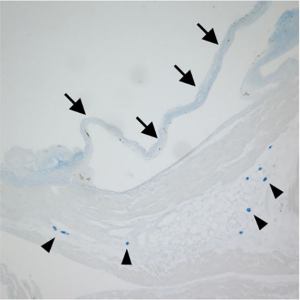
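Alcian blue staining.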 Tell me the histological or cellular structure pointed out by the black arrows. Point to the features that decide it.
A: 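Thin, elongated flaps of tissue project freely into a clear lumen. The flaps are stained pale blue. The flaps arise from the thicker wall of tissue below.
Hence: root valve leaflets.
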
